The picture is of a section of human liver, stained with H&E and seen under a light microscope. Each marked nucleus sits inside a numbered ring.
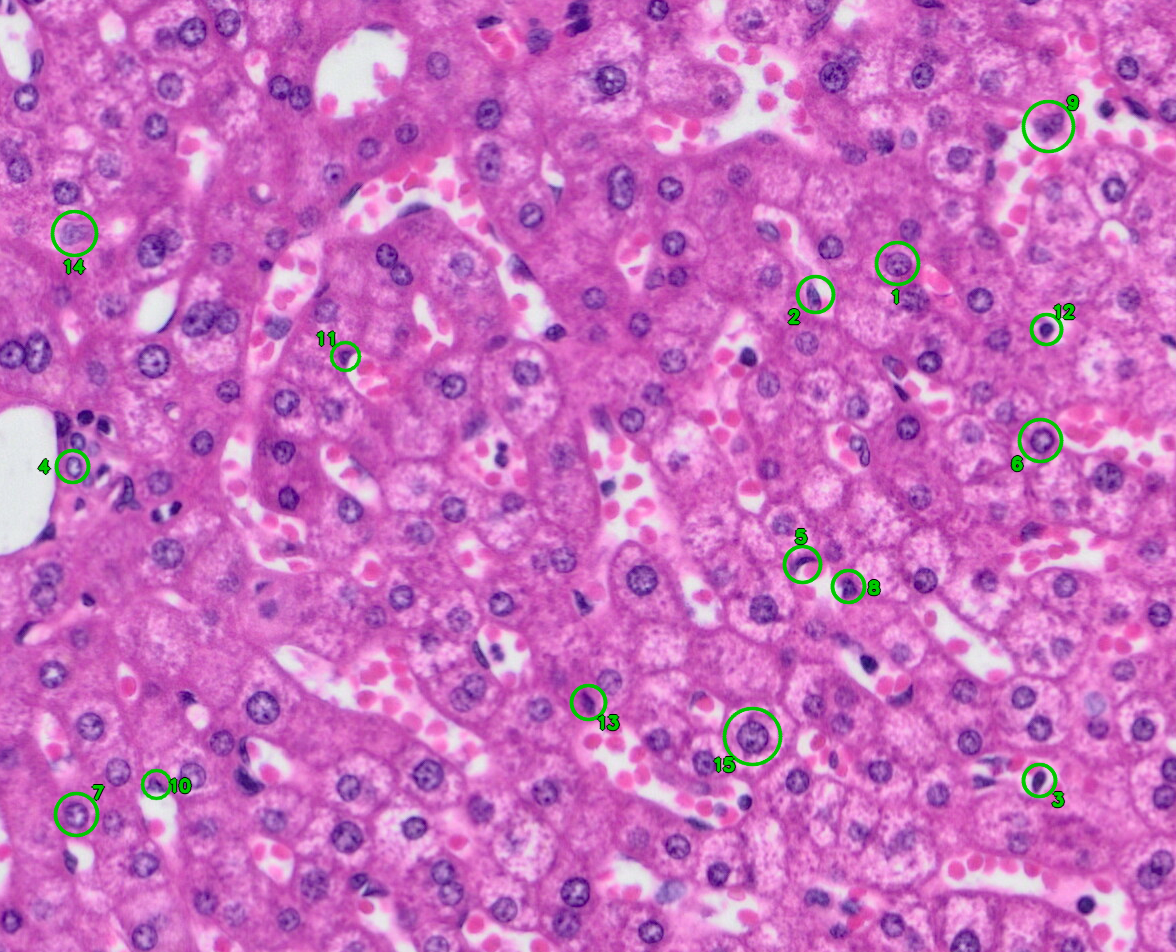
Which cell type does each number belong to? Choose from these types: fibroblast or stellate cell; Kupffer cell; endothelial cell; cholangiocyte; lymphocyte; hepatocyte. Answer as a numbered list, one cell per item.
1. hepatocyte
2. lymphocyte
3. lymphocyte
4. cholangiocyte
5. endothelial cell
6. hepatocyte
7. hepatocyte
8. fibroblast or stellate cell
9. Kupffer cell
10. endothelial cell
11. fibroblast or stellate cell
12. lymphocyte
13. fibroblast or stellate cell
14. Kupffer cell
15. hepatocyte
